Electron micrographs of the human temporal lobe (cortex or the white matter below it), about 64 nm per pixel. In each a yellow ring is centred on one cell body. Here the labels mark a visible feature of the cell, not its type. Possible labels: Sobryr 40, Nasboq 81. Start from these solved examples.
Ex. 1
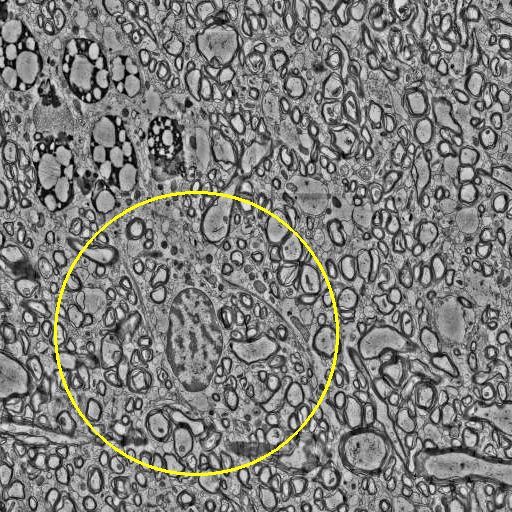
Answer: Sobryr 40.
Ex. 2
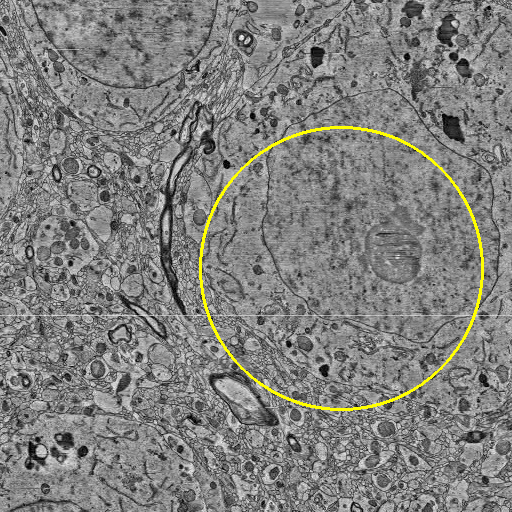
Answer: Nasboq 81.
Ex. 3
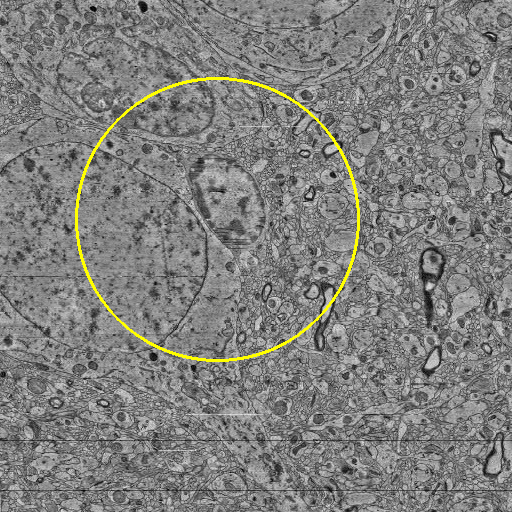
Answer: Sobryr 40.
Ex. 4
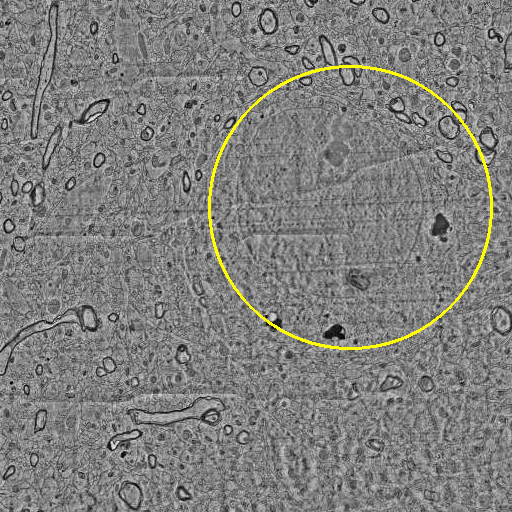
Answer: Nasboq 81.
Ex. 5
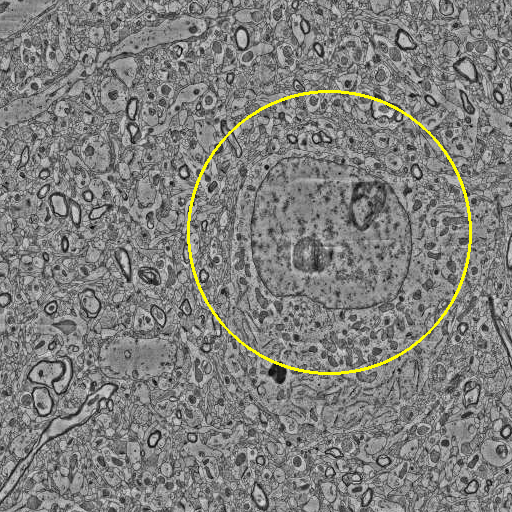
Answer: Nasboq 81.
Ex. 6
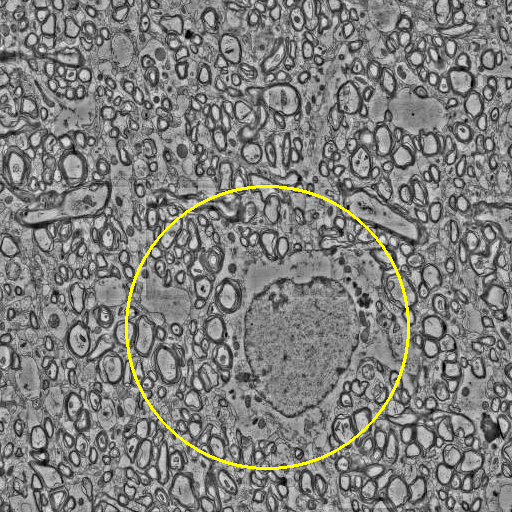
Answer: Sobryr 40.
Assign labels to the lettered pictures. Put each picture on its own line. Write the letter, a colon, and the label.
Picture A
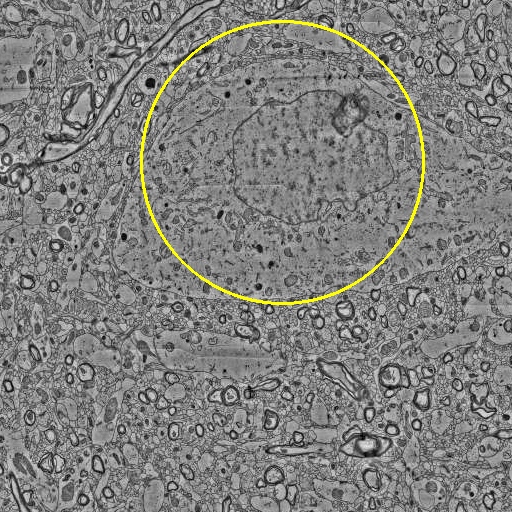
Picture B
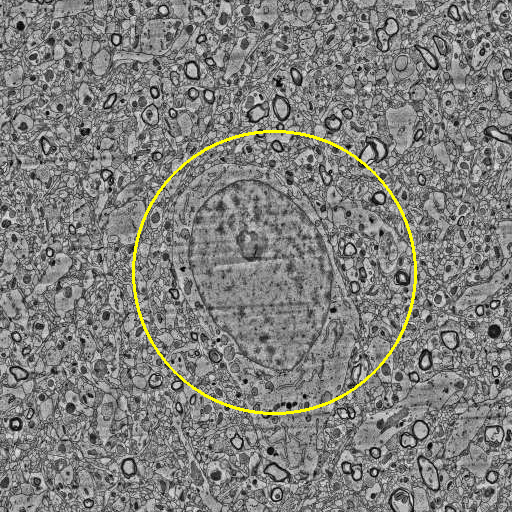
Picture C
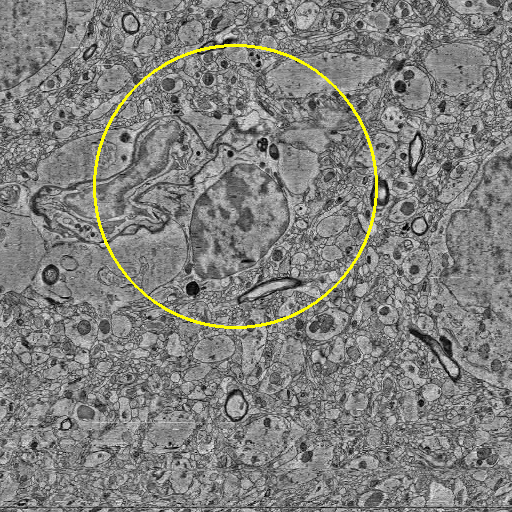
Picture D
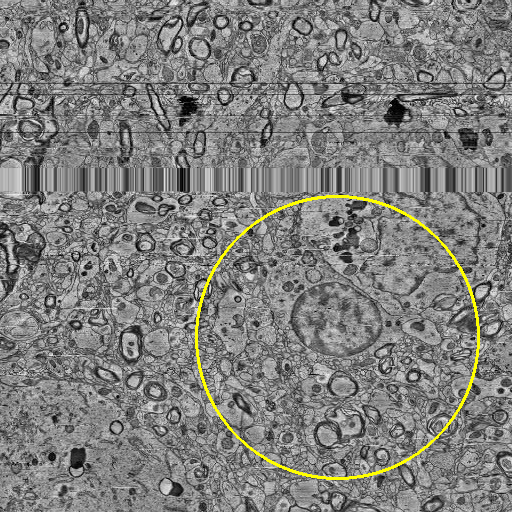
A: Nasboq 81.
B: Nasboq 81.
C: Sobryr 40.
D: Sobryr 40.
